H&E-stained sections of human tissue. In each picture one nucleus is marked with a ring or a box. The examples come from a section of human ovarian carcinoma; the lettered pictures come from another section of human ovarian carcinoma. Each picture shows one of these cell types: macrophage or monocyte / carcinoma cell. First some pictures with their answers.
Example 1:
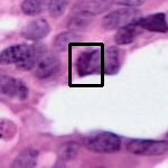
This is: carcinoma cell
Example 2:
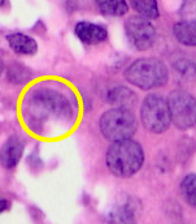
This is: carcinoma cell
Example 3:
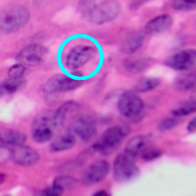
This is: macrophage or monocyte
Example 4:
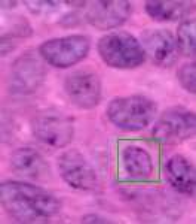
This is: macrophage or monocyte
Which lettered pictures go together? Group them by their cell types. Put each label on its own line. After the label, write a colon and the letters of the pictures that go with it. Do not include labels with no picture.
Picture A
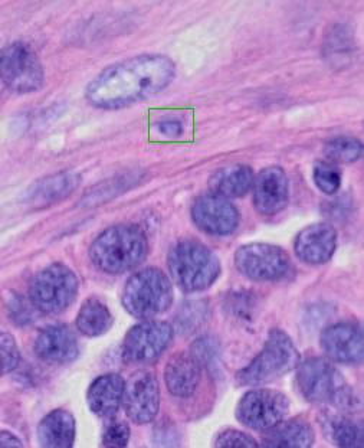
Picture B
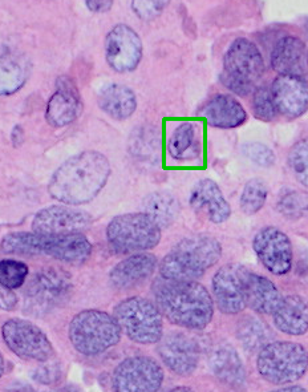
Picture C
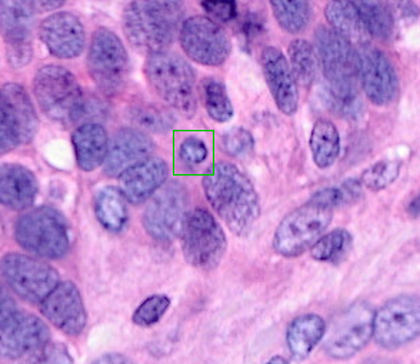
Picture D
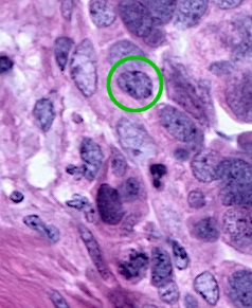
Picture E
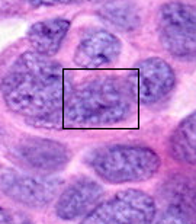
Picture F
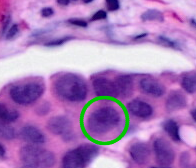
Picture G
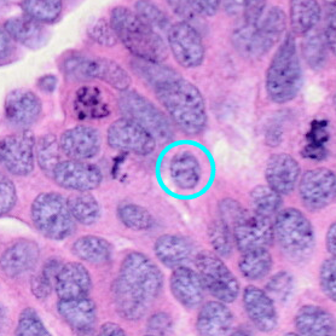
macrophage or monocyte: A, B, C, D, G
carcinoma cell: E, F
